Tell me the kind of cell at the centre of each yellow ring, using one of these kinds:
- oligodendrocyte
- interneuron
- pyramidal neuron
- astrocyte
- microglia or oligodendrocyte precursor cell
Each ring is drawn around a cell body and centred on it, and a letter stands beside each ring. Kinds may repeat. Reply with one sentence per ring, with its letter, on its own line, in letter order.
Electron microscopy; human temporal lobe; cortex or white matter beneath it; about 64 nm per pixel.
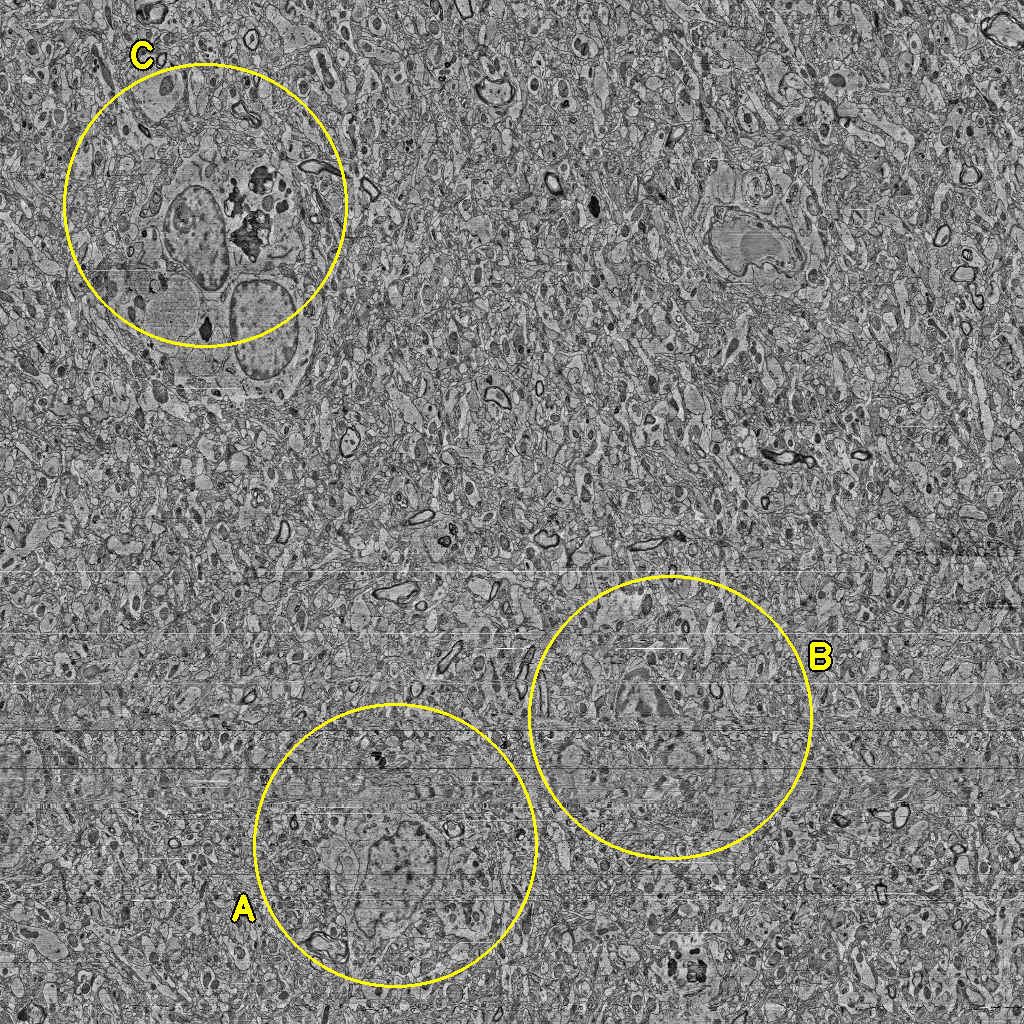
The ring labelled A is centred on an interneuron.
The ring labelled B is centred on a microglial cell or oligodendrocyte precursor cell.
The ring labelled C is centred on an astrocyte.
